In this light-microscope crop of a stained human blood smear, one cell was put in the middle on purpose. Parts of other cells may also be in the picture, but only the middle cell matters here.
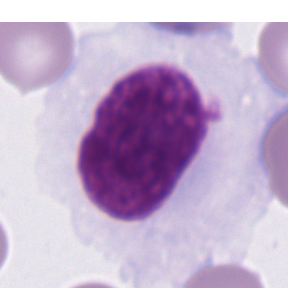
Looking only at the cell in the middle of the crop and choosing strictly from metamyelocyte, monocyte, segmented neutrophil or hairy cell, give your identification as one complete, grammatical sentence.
Here the centrally located cell is a hairy cell.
